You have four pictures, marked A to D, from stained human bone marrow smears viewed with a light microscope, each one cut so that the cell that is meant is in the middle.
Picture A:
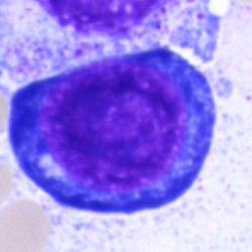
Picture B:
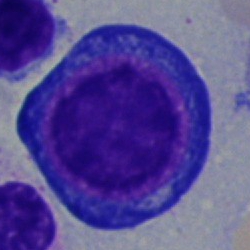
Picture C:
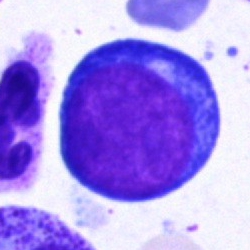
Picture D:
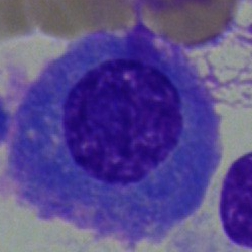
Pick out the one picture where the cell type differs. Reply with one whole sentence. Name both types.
All pictures except D show proerythroblasts; picture D shows a plasma cell.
